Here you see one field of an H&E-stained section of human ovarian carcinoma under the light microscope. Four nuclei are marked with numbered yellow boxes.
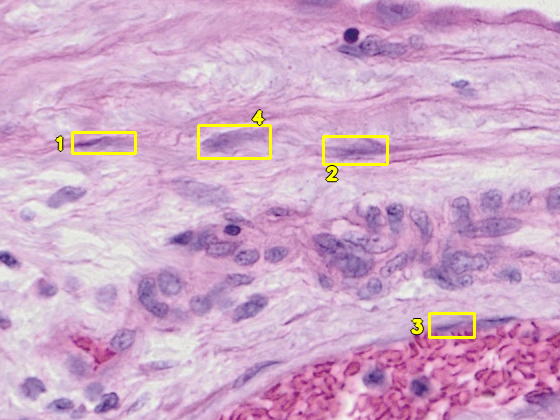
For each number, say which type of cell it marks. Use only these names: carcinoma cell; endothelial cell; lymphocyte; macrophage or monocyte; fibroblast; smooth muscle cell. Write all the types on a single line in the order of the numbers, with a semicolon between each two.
fibroblast; fibroblast; endothelial cell; fibroblast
